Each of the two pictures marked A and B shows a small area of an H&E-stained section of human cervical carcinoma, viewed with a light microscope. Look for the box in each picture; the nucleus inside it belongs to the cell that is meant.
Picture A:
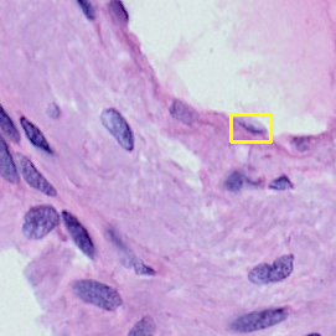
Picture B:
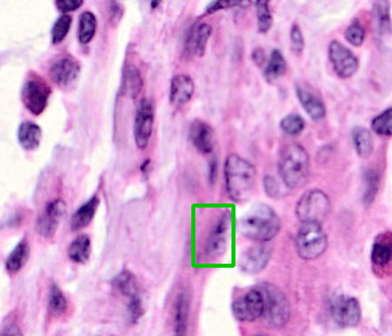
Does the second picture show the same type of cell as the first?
yes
